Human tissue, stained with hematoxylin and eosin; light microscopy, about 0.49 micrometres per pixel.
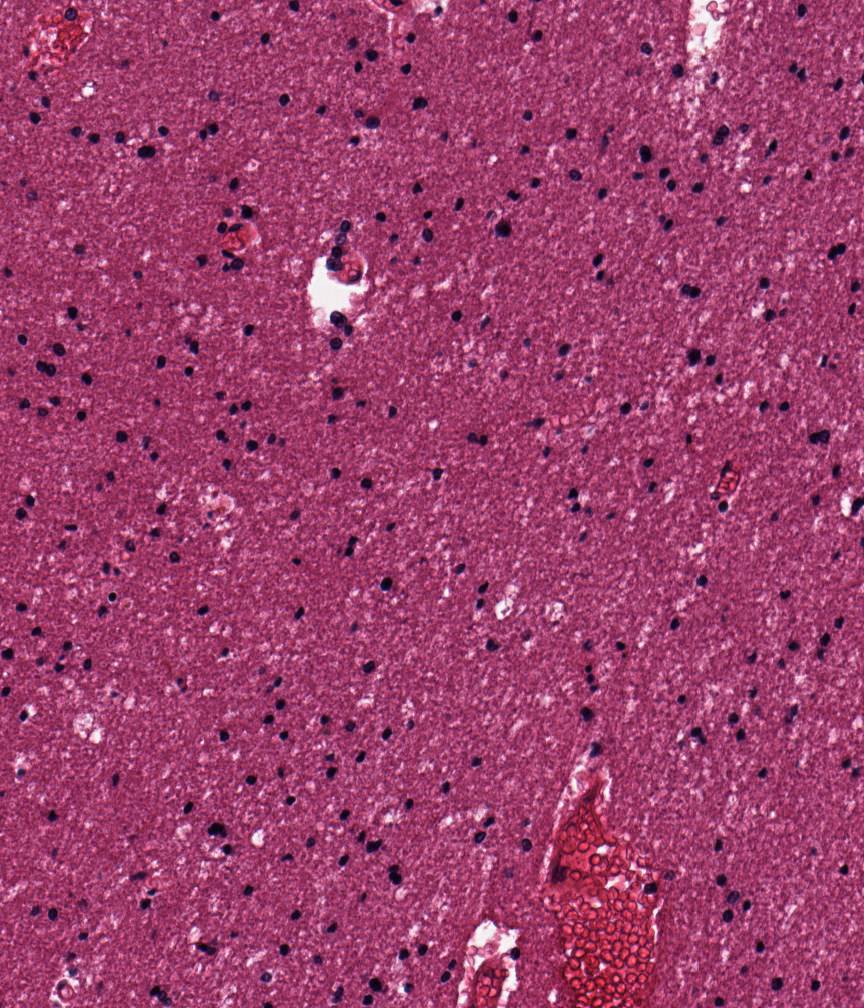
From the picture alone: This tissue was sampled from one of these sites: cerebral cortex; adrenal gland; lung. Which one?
cerebral cortex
